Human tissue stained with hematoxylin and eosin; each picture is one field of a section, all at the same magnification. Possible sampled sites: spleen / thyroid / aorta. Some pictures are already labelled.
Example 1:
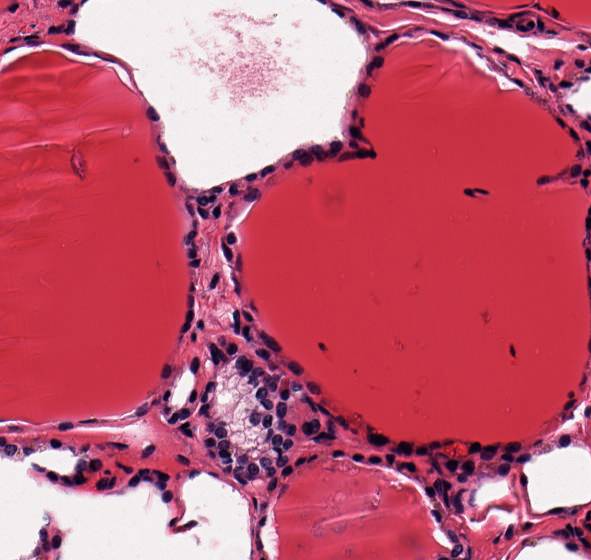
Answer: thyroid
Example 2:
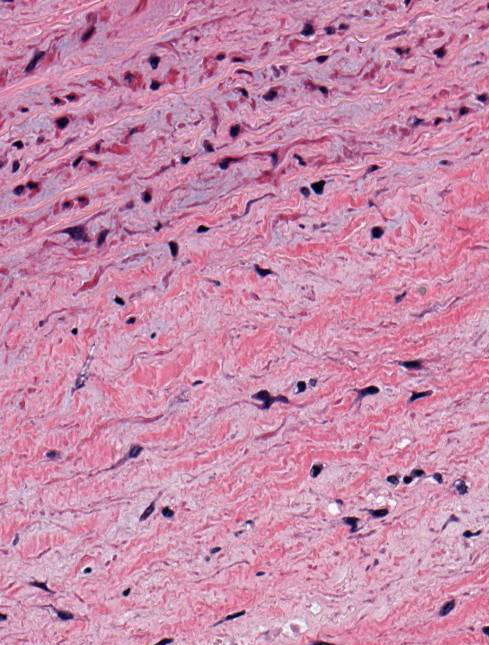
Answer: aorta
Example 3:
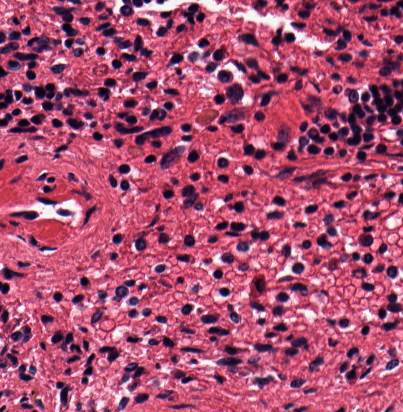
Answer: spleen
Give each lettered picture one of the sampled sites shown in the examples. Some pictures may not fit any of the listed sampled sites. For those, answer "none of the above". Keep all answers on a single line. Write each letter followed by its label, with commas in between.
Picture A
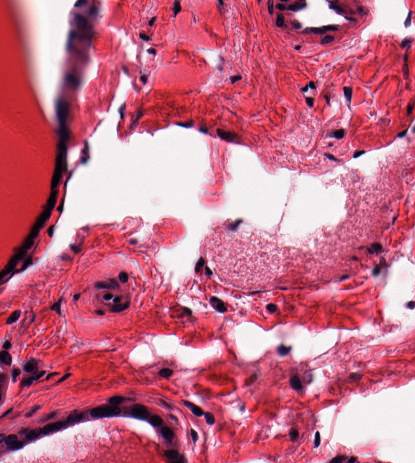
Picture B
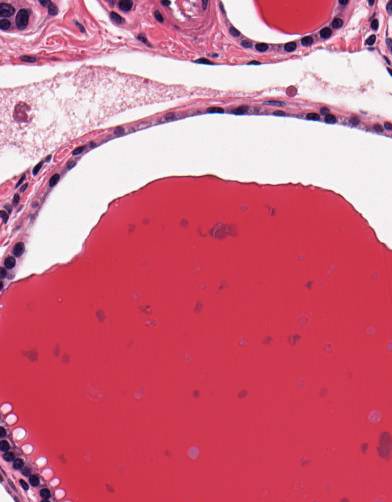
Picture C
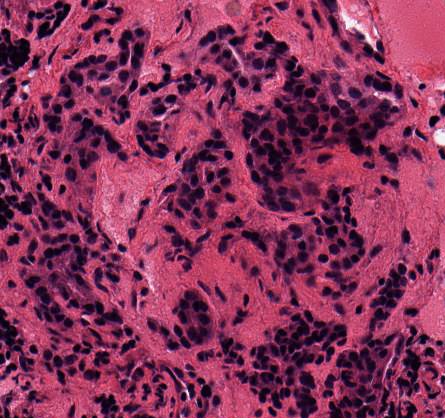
A thyroid, B thyroid, C thyroid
